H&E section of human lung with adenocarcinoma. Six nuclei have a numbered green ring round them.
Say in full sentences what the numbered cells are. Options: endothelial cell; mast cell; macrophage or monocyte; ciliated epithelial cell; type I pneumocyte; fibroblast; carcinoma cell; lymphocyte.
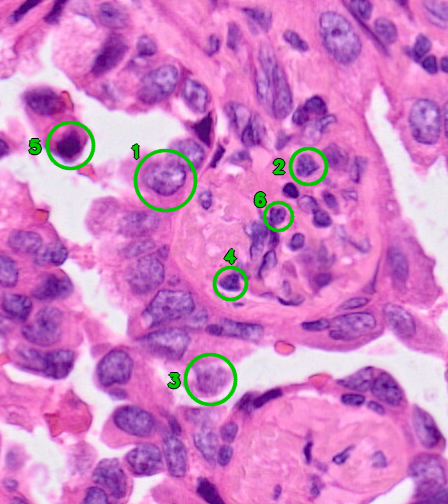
Cell 1 is a carcinoma cell, cell 2 is a lymphocyte, cell 3 is a carcinoma cell, cell 4 is a lymphocyte, cell 5 is a carcinoma cell and cell 6 is a lymphocyte.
